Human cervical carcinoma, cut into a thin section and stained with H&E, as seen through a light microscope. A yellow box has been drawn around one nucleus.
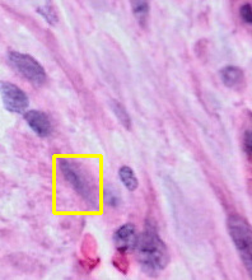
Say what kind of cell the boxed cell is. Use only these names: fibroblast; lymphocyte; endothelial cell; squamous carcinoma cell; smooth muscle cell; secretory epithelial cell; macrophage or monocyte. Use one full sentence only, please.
Placed in its cell category, the boxed cell is an endothelial cell.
